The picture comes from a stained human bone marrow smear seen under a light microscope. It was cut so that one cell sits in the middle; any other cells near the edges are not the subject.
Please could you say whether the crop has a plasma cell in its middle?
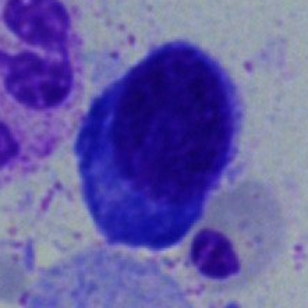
yes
